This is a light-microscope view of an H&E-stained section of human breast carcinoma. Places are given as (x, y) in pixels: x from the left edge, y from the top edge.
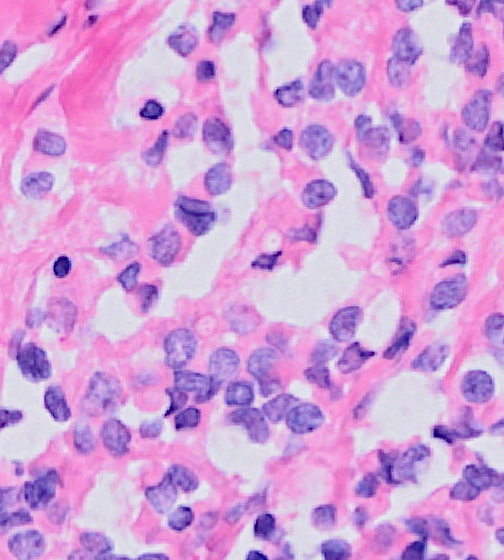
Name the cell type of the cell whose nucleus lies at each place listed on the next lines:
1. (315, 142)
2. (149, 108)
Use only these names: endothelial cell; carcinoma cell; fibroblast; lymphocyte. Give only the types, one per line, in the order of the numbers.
carcinoma cell
lymphocyte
